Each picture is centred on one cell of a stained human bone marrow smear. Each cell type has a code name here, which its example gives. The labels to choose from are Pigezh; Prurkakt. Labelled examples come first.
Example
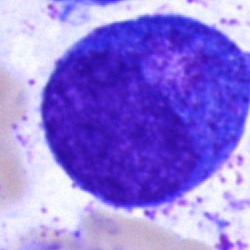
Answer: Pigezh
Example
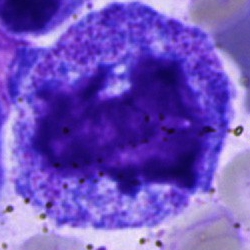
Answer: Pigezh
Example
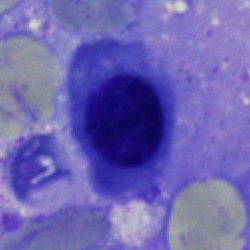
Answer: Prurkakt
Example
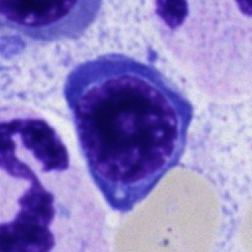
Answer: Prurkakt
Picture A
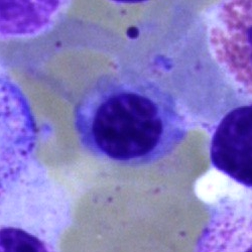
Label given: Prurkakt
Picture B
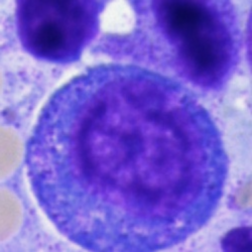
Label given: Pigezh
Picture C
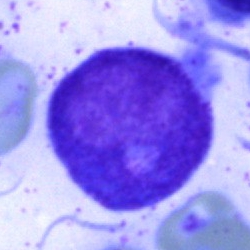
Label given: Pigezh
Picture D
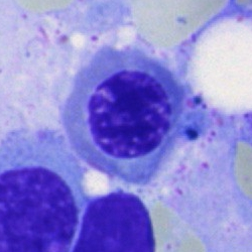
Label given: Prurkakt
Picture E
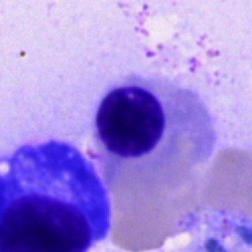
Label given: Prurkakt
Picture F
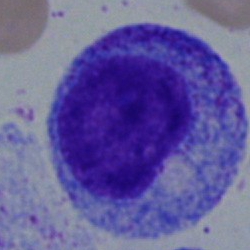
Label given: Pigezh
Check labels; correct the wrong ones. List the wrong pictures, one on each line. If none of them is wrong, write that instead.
All correct.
